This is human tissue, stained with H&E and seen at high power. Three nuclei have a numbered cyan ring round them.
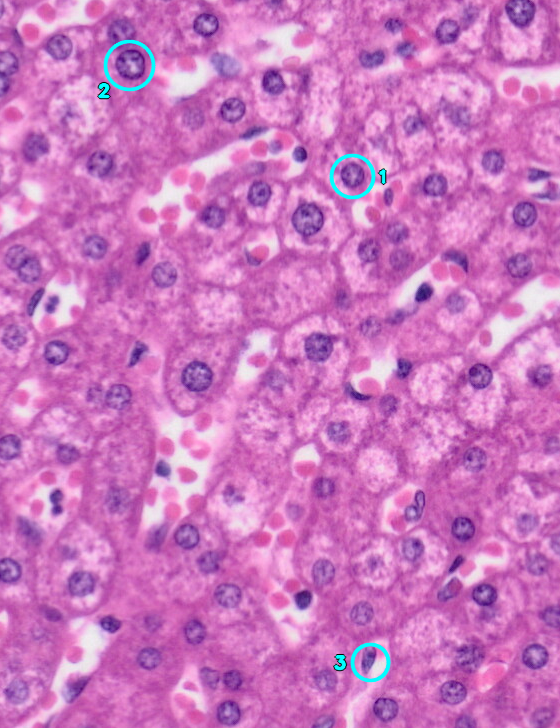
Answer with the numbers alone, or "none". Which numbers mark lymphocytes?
3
